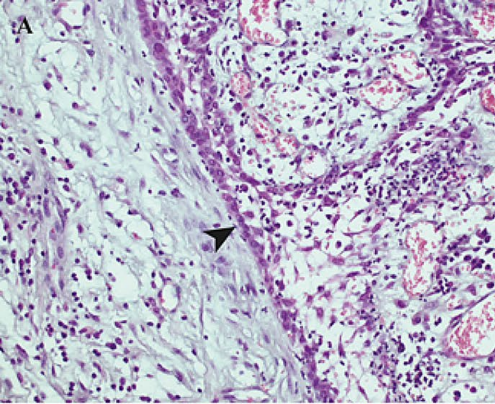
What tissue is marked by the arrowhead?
Epithelial lining.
